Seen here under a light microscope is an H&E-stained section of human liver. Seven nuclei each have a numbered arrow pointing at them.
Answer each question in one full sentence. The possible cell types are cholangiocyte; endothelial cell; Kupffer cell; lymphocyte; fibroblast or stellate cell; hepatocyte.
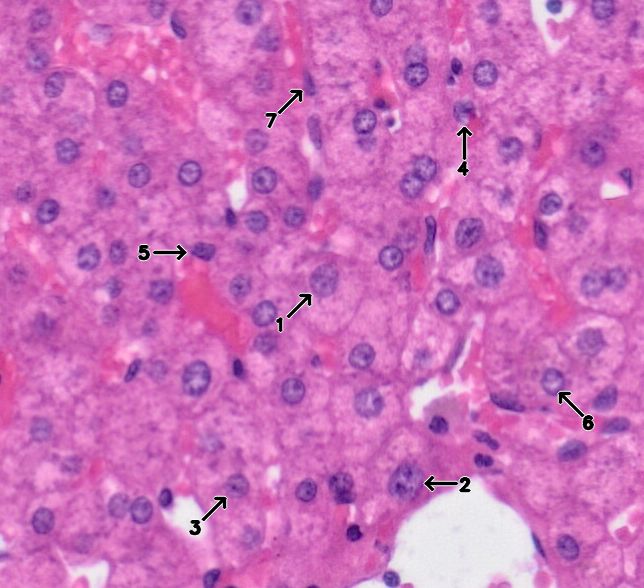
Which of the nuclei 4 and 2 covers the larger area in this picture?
The larger nucleus is 2, at roughly 2.5 times the area of 4.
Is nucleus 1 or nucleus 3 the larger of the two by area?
Nucleus 1 covers more area, about 1.5 times as much as nucleus 3.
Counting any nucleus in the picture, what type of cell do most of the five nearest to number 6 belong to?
Around number 6, most of the five nearest nuclei are those of endothelial cells.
